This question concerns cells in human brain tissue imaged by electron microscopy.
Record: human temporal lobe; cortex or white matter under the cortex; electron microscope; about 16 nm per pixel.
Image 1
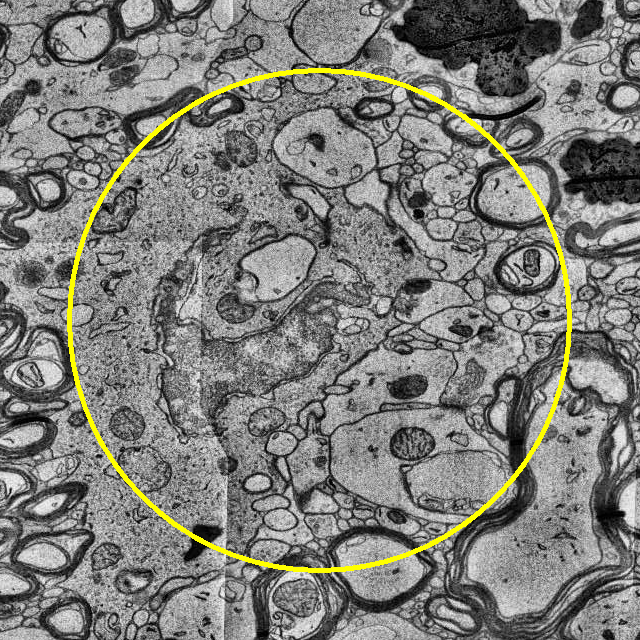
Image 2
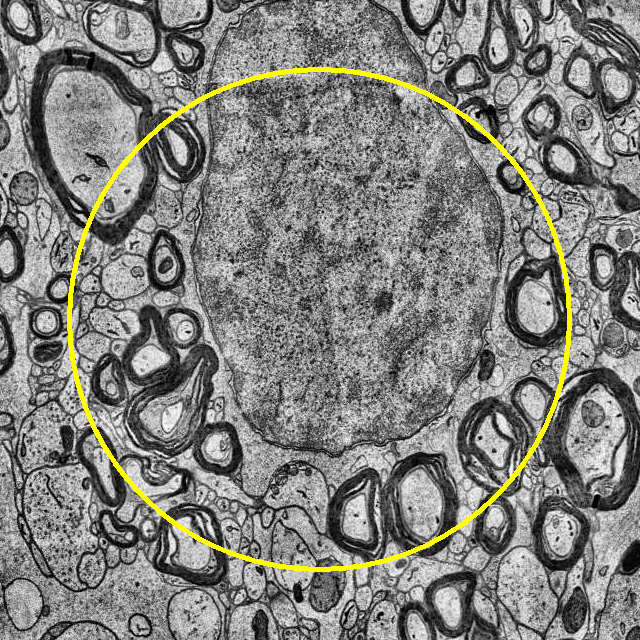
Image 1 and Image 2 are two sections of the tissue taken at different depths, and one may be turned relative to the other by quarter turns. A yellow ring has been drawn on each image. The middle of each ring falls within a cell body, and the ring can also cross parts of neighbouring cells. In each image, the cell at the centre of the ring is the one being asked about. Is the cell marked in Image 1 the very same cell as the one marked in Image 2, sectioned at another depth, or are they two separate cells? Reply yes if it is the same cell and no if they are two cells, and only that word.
no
